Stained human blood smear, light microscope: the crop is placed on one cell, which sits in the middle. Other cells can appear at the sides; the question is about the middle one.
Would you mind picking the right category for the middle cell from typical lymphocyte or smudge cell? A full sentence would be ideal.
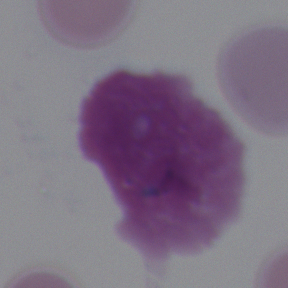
The cell in the middle of the field of view is a smudge cell.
